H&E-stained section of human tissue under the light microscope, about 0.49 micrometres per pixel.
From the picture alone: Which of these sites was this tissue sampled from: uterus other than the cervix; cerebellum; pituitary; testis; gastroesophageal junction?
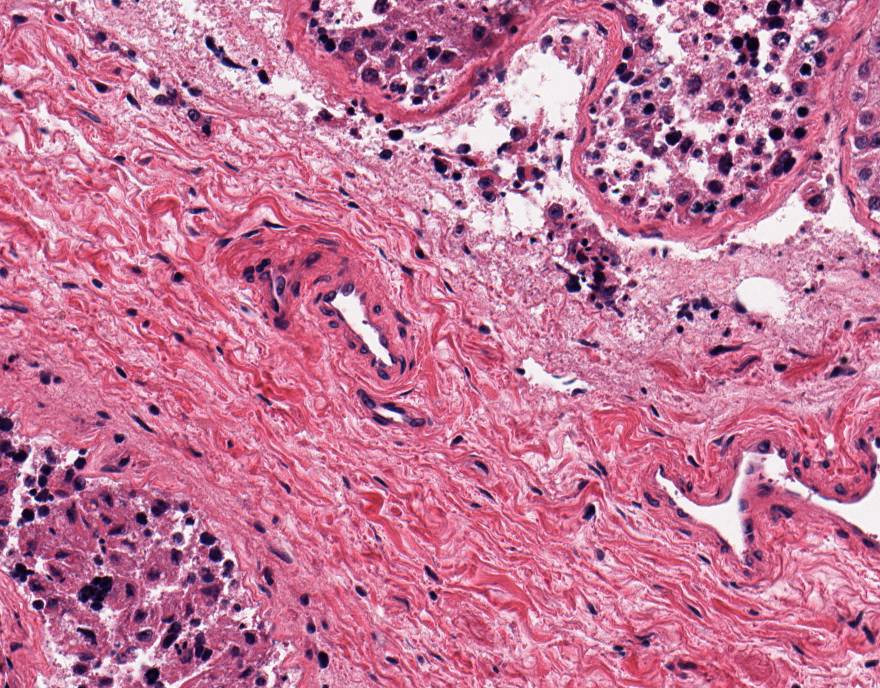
testis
